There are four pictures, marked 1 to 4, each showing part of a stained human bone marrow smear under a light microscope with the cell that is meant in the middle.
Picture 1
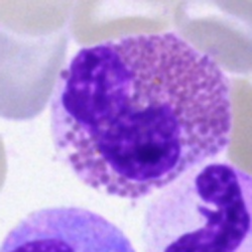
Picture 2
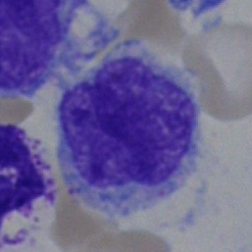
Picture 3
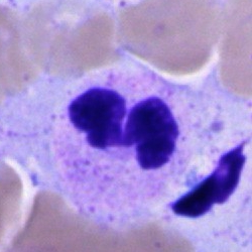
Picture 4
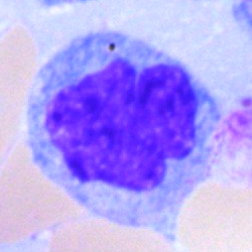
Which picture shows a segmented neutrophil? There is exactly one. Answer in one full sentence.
The segmented neutrophil is the one in picture 3.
